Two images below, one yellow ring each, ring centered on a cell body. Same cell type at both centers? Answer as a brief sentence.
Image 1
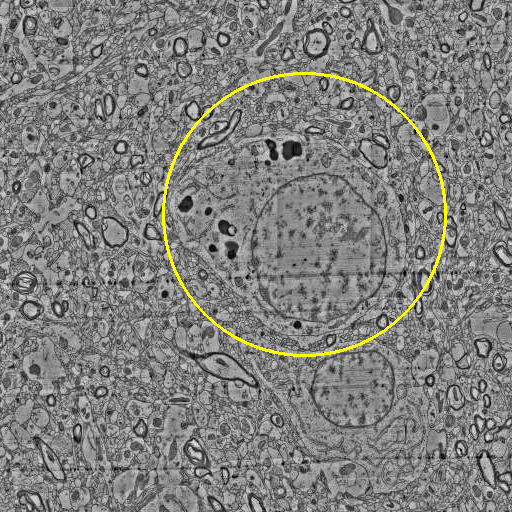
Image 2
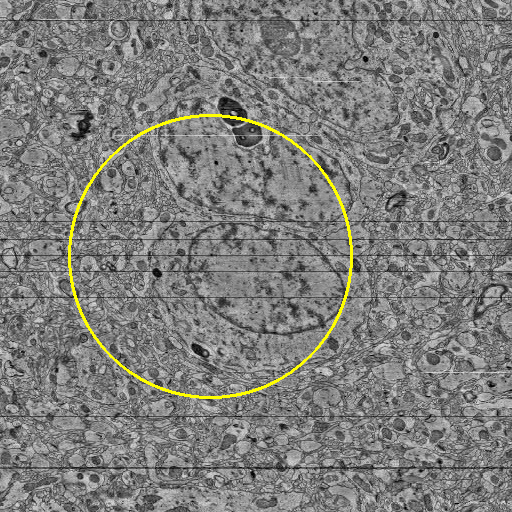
Yes, both cells are of the same type.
